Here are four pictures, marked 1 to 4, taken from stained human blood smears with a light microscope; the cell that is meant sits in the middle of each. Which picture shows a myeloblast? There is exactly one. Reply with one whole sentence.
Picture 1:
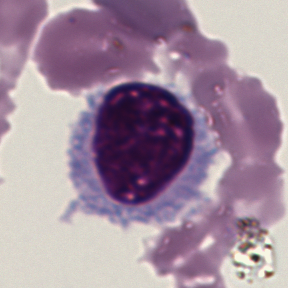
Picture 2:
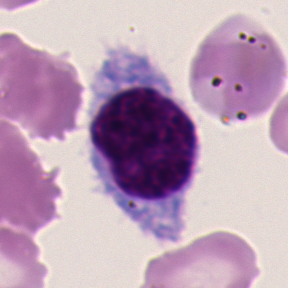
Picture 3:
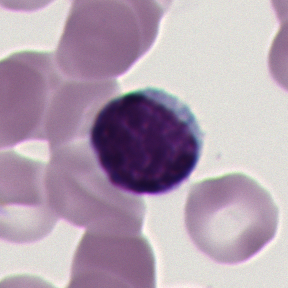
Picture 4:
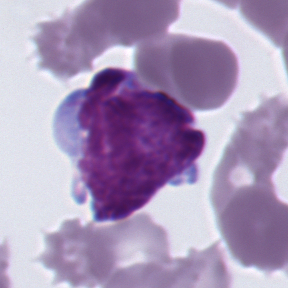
Picture 4 is the one that shows the myeloblast.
